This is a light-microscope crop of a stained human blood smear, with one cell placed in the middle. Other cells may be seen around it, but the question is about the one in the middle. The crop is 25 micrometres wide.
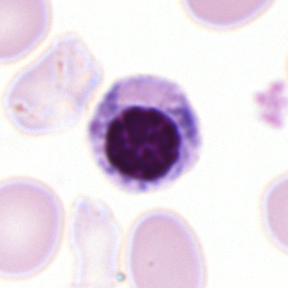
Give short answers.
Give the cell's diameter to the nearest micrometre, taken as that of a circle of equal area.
10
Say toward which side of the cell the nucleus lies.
bottom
